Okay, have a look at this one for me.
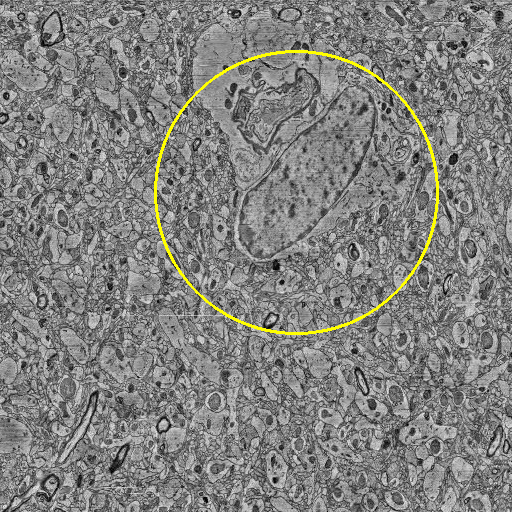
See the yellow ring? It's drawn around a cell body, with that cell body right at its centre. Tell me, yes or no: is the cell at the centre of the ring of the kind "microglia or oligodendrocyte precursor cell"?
Yes, it is of that kind.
